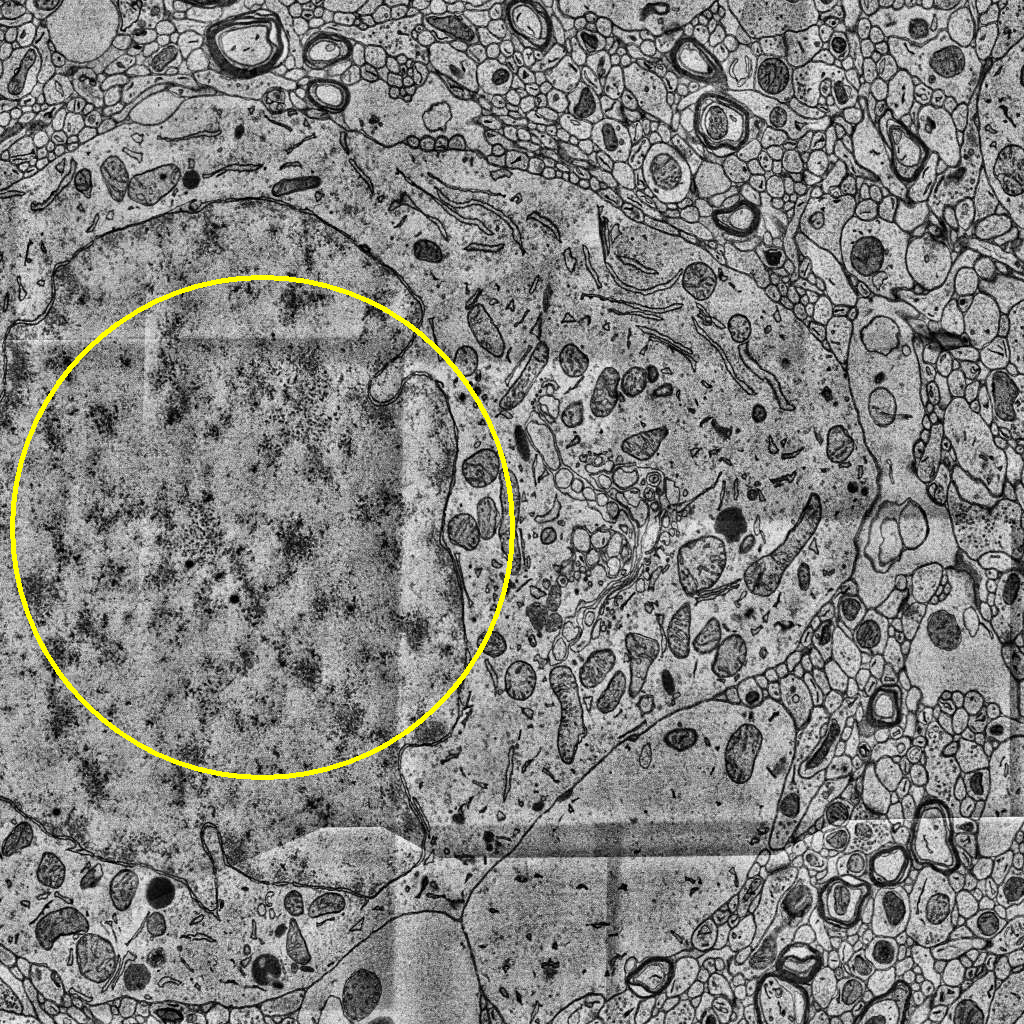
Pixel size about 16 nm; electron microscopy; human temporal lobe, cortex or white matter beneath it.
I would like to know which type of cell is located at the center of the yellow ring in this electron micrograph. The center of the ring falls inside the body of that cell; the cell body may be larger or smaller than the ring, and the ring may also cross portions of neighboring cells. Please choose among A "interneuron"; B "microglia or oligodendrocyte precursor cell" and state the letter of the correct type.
A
